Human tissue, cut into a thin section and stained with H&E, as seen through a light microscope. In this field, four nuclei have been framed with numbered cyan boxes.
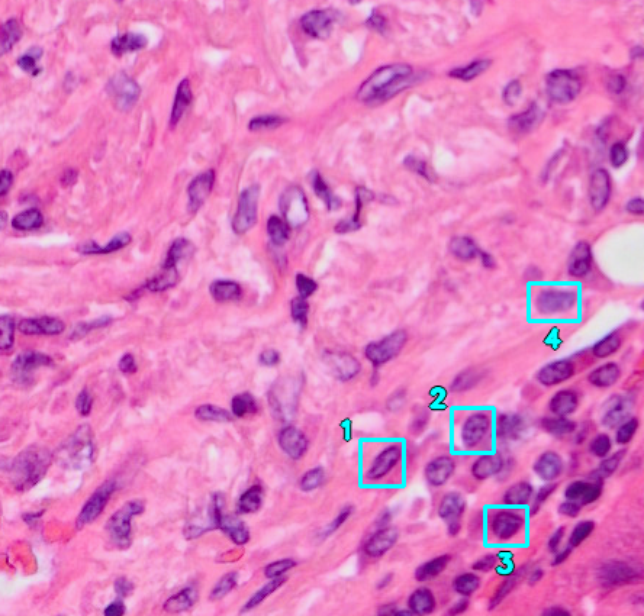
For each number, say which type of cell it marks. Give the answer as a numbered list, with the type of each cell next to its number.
1. plasma cell
2. plasma cell
3. plasma cell
4. lymphocyte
